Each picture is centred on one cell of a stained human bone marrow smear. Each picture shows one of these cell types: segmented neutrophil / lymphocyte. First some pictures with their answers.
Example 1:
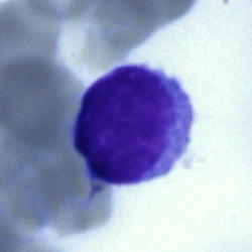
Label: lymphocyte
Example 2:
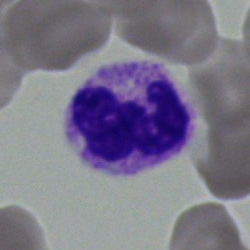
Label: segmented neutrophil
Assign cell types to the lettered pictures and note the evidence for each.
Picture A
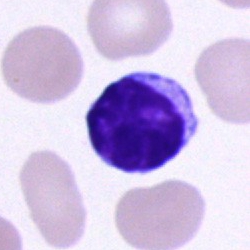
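lymphocyte. The cytoplasm is a scant pale blue rim, widest on the upper right side.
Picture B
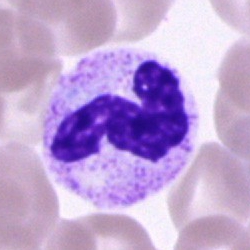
segmented neutrophil. The cytoplasm is plentiful and pale pinkish-lilac.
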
